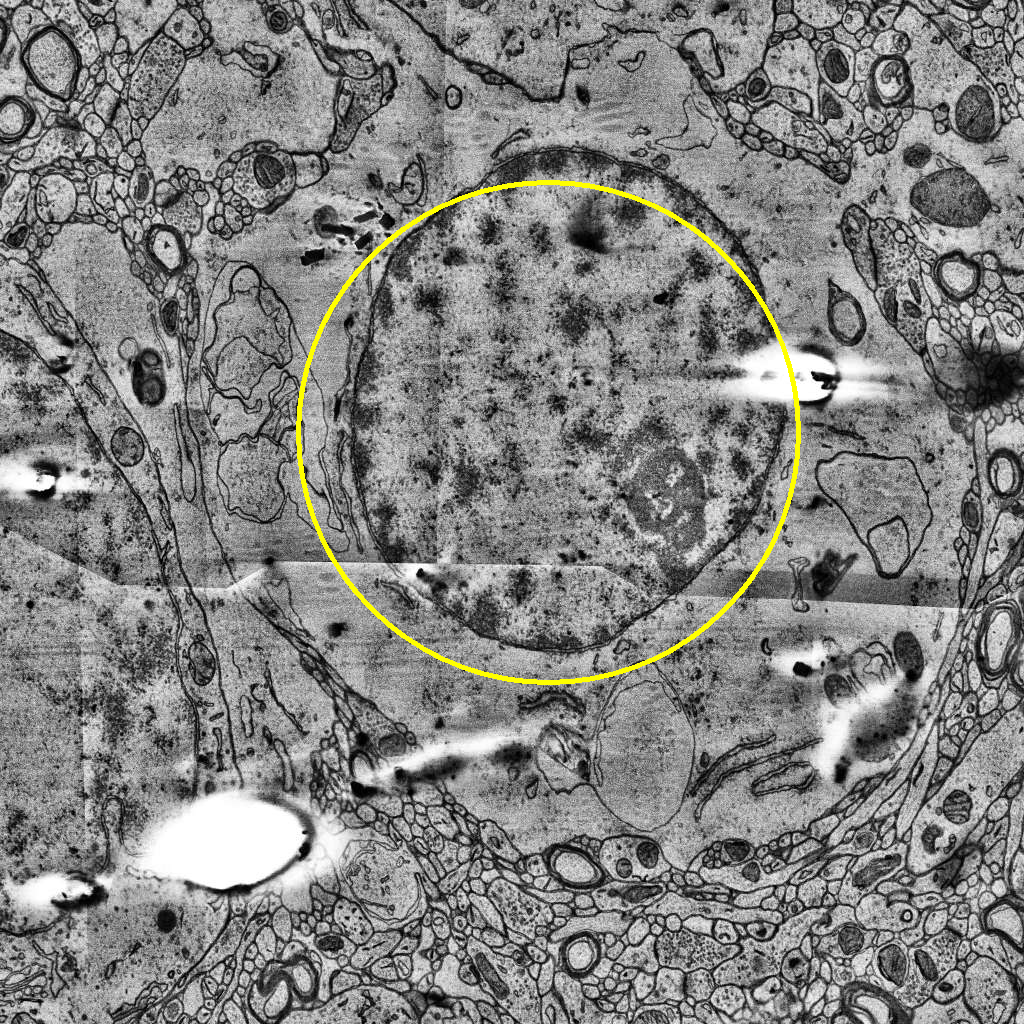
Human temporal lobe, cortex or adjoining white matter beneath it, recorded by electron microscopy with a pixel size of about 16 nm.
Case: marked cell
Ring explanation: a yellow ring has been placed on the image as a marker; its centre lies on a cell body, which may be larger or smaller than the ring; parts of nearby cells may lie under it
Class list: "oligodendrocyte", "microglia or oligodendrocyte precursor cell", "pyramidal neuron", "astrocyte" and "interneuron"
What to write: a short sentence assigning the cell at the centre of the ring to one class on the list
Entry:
The cell at the ring's centre is an astrocyte.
